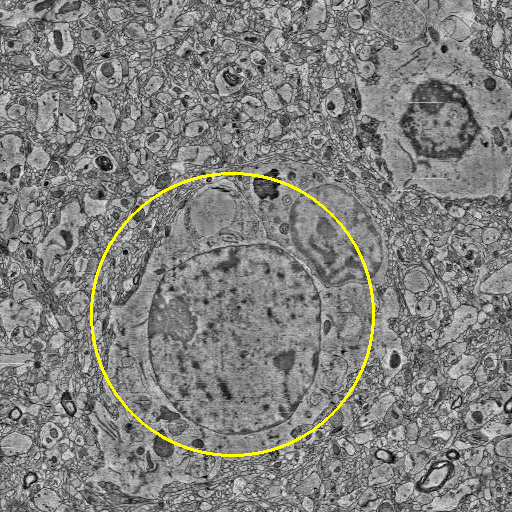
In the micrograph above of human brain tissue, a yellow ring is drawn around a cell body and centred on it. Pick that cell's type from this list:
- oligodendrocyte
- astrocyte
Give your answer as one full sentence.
Going by the list, an astrocyte is the cell on which the yellow ring is centred.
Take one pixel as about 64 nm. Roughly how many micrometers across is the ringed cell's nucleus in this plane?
The nucleus is approximately 13 micrometers long by 11 micrometers wide in this plane.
